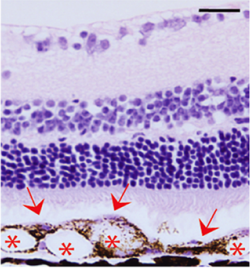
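This is a layered retina in cross-section. Scattered large nuclei lie at the top in the ganglion cell layer, a band of purple nuclei forms the inner nuclear layer, and a thicker, denser band of nuclei forms the outer nuclear layer. Below it lie pale, fibrous inner and outer segments of the photoreceptors. At the bottom, the brown pigmented retinal pigment epithelium is no longer a thin, even line: it is broken up by large round vacuoles, and purple-stained material sits on top of it.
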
